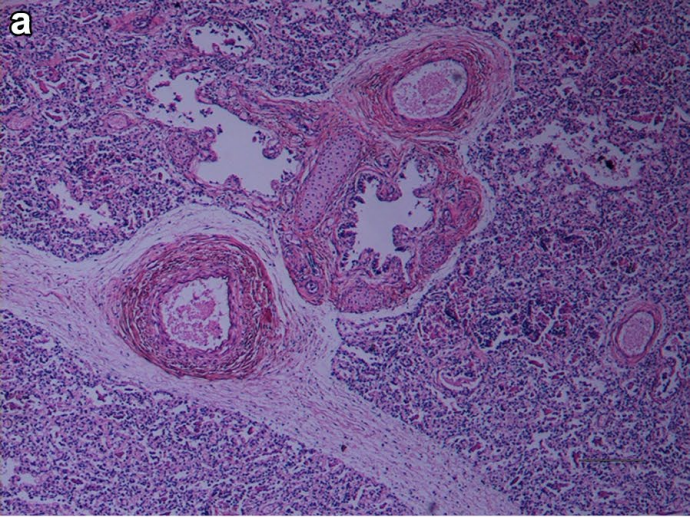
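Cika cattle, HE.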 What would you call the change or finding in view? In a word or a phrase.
Atelectatic.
